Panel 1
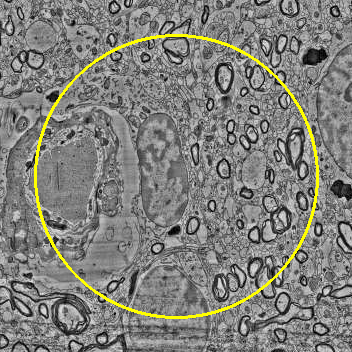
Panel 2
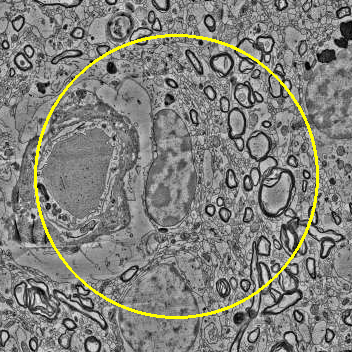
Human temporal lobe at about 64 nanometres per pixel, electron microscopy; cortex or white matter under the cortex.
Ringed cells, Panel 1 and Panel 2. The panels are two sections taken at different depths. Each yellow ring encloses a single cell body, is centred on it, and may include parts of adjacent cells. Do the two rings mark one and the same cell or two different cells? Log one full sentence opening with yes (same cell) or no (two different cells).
Yes, the same cell has been marked in both yellow rings.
